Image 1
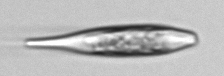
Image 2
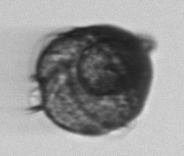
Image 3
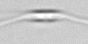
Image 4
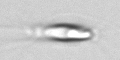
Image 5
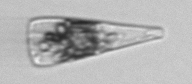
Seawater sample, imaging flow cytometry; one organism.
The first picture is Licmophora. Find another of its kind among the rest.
Picture 5.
